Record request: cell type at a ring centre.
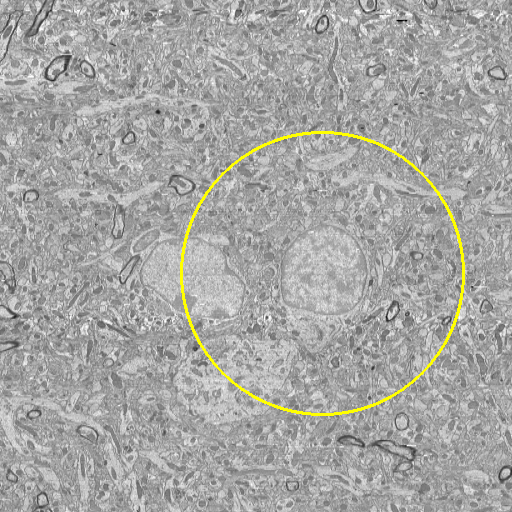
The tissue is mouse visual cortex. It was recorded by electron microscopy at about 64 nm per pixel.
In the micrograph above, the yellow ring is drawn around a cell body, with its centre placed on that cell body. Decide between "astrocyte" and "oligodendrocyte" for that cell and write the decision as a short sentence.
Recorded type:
The cell centred in the yellow ring is an oligodendrocyte.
